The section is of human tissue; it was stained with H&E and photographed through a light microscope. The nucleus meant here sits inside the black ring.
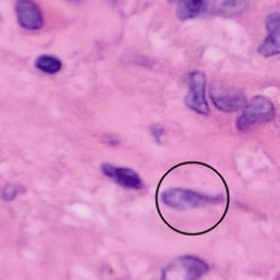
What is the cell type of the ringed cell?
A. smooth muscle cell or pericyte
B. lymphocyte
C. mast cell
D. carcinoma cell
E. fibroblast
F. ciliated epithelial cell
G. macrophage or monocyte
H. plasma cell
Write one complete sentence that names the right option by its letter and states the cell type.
The correct identification, the ringed cell as a fibroblast, is given by option E.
